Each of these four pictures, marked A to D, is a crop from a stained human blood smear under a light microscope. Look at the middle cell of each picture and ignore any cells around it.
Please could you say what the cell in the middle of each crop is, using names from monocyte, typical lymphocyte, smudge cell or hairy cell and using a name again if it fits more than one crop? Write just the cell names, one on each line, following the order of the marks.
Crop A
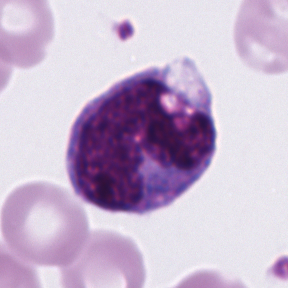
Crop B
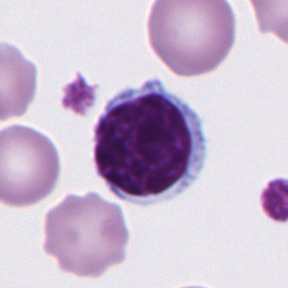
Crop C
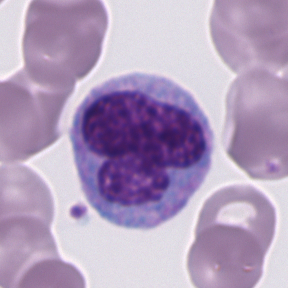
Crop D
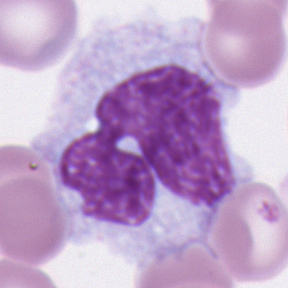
monocyte
typical lymphocyte
monocyte
monocyte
